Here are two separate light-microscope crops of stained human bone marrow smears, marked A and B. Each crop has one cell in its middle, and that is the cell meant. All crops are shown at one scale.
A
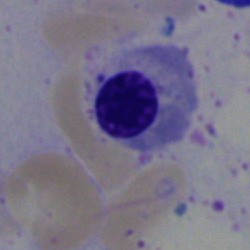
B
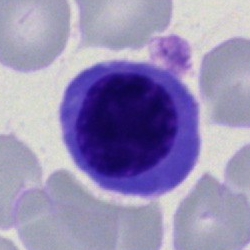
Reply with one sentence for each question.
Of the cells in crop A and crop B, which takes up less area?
The cell in crop A is smaller; the one in crop B has about 1.5 times its area.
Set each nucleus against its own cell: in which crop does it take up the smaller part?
The nucleus fills less of the cell in crop A than in crop B.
